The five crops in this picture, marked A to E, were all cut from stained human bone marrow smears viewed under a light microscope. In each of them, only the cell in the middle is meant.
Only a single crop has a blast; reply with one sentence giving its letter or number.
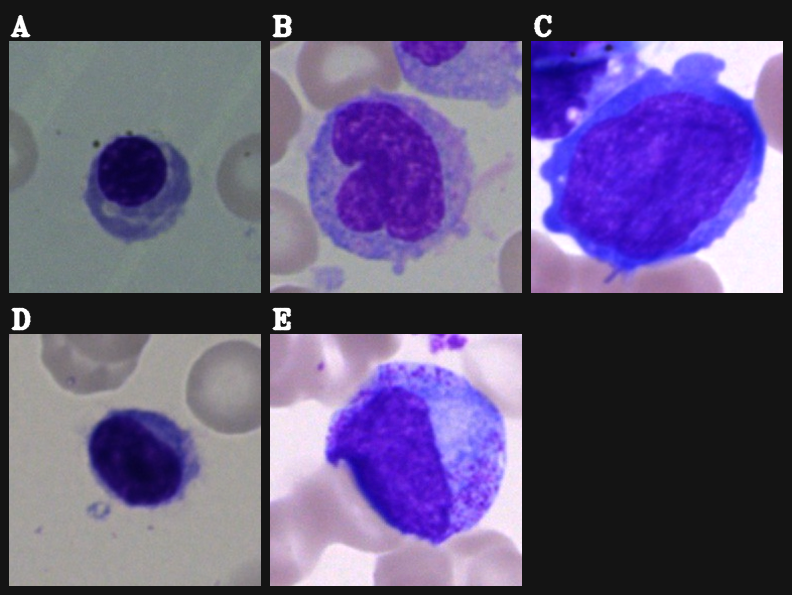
Among the crops provided, a blast occupies the center of crop C.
